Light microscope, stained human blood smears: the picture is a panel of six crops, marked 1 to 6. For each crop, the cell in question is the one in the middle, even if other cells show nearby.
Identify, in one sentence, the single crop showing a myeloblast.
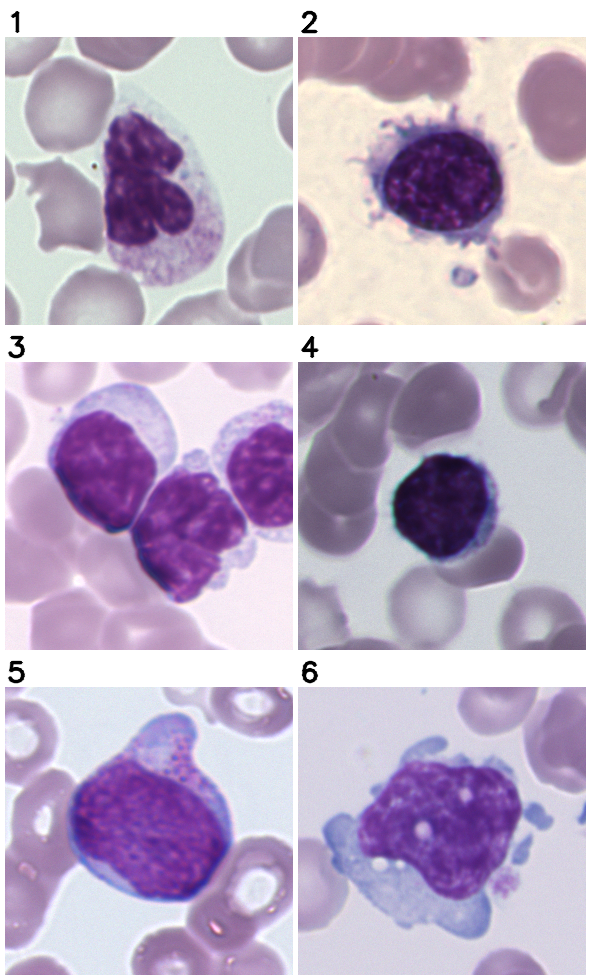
Crop 6 is the one depicting a myeloblast.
